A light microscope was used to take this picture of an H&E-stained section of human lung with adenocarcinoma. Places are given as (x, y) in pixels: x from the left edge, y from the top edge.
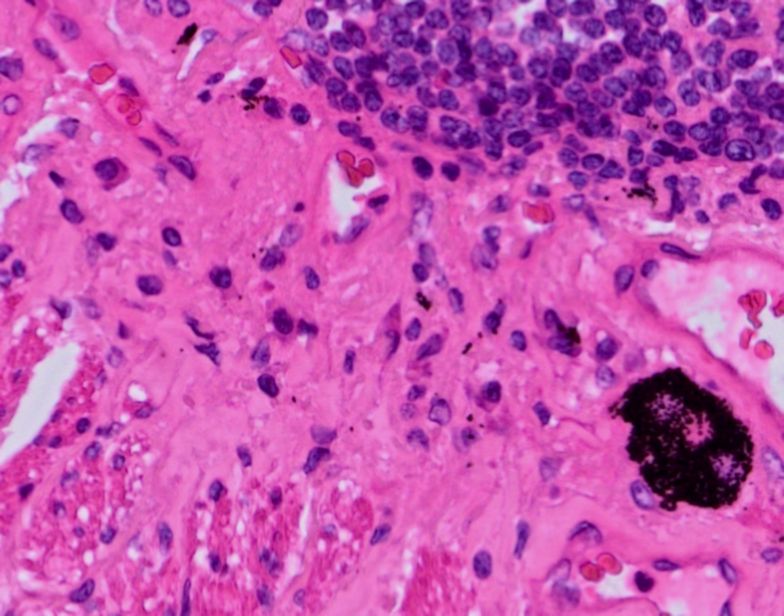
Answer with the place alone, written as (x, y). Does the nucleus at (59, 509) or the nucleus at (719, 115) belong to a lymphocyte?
(719, 115)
